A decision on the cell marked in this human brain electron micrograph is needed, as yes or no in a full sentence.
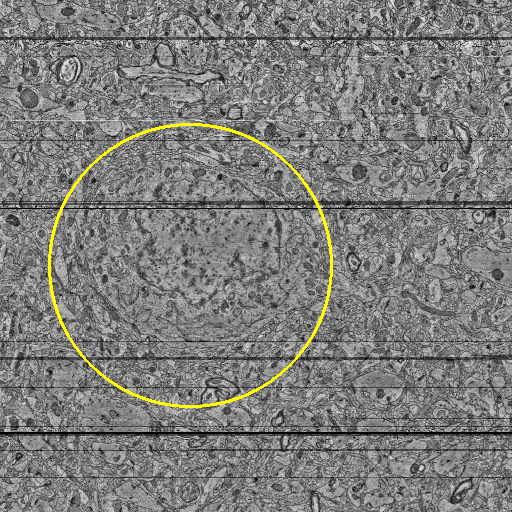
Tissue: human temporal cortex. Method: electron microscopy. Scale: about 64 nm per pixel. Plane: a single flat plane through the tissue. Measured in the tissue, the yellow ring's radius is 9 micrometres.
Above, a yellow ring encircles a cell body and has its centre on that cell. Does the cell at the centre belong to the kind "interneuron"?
Yes, the kind given fits the cell at the centre of the ring in the picture.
